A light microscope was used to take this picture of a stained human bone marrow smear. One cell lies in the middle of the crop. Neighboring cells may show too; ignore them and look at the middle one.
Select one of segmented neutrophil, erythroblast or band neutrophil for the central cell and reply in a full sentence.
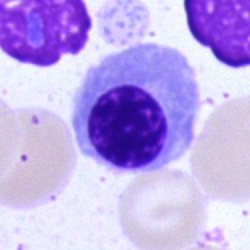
In the middle of this smear crop is an erythroblast.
